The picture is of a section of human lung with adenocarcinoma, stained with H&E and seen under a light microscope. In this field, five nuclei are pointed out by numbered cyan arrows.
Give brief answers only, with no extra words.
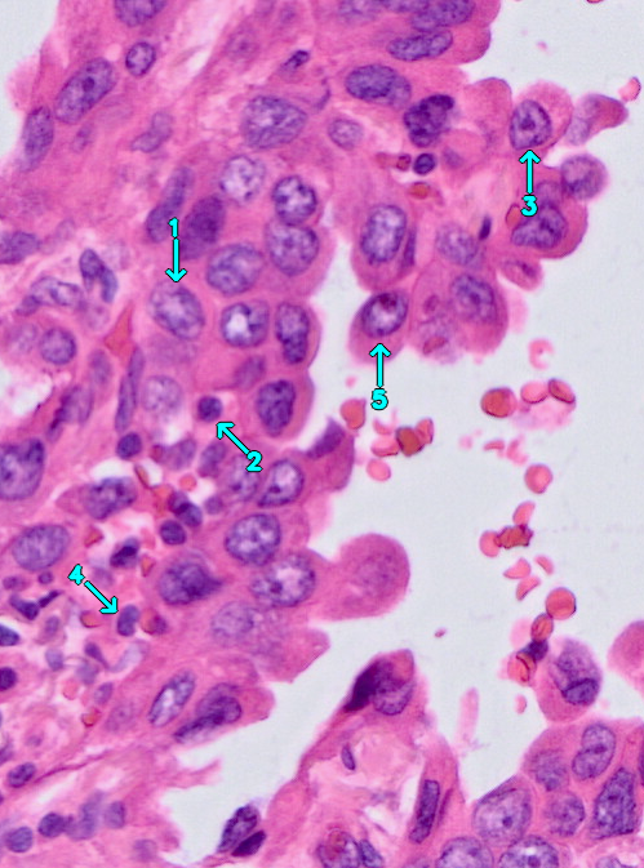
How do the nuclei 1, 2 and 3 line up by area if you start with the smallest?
2, 3, 1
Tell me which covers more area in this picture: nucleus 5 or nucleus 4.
5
